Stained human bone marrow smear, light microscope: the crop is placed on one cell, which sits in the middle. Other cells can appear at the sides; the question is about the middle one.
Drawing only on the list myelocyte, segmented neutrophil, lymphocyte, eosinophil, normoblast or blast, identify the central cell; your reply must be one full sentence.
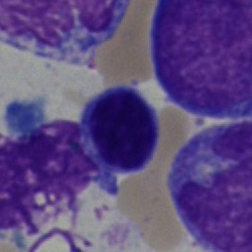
Seen at the centre of the crop is a lymphocyte.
